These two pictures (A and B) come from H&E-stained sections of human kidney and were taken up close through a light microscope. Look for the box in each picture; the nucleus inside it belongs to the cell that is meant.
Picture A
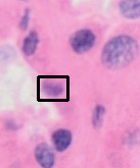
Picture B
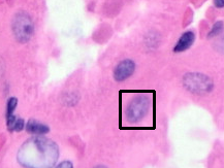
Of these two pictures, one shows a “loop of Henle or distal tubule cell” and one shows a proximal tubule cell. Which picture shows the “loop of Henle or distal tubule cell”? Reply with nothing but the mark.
A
